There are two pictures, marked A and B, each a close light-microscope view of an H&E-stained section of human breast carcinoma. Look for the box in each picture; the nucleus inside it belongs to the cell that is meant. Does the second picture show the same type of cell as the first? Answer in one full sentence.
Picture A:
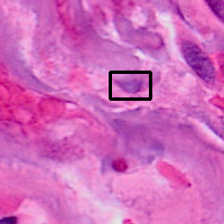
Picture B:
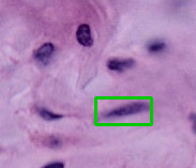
Yes, they are the same type: both are fibroblasts.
